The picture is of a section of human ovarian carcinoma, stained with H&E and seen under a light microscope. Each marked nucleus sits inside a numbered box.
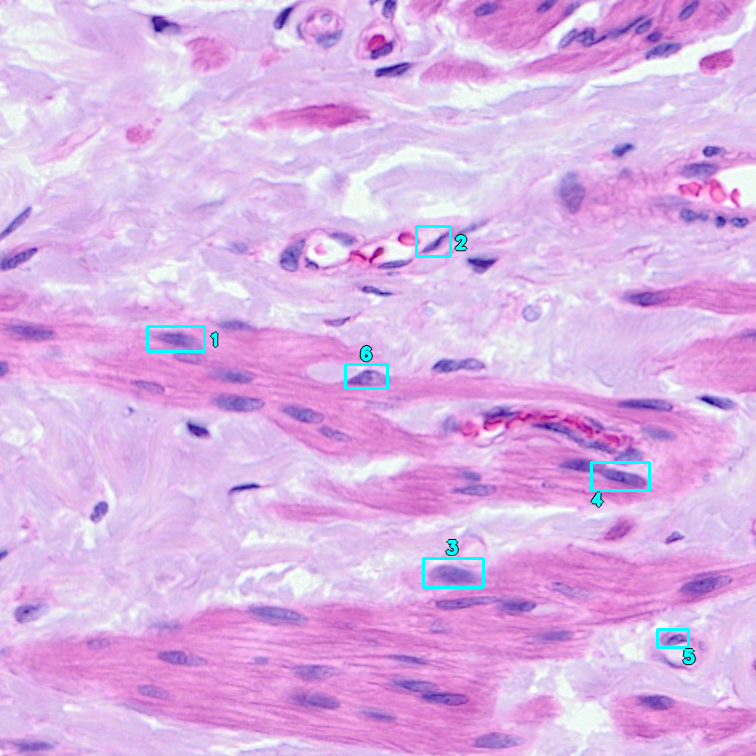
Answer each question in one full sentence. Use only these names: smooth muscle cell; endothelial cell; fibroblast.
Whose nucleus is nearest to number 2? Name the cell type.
The nucleus nearest to number 2 is that of a fibroblast.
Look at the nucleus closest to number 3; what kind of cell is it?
The cell nearest to number 3 is a smooth muscle cell.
